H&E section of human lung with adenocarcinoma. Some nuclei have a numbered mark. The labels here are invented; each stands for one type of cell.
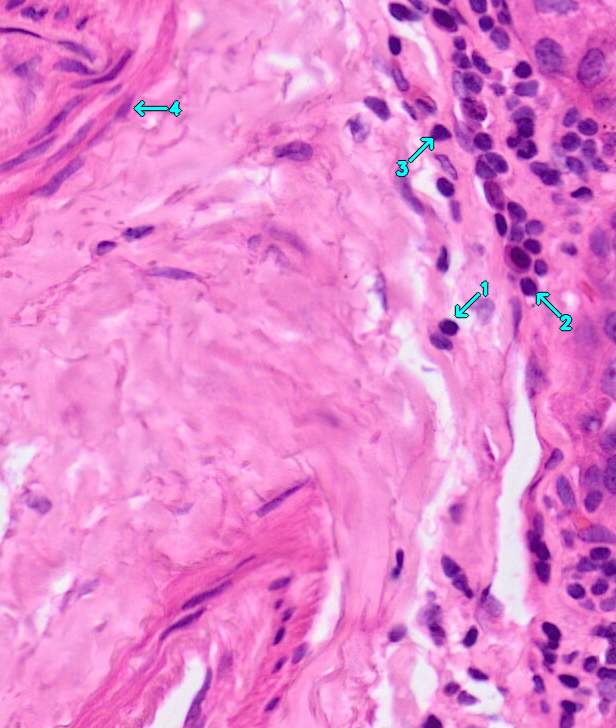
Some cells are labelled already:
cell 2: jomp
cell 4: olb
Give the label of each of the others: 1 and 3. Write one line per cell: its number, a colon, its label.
1: jomp
3: jomp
